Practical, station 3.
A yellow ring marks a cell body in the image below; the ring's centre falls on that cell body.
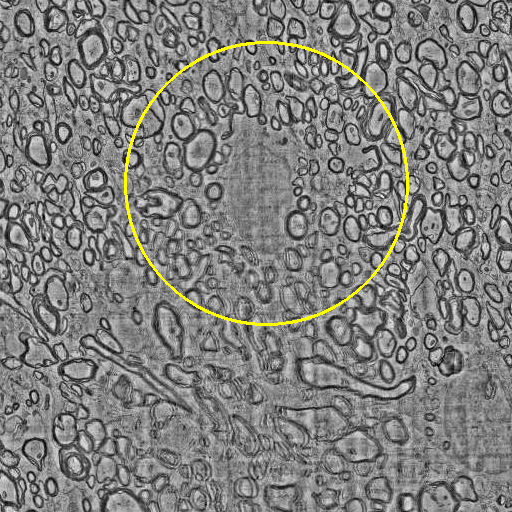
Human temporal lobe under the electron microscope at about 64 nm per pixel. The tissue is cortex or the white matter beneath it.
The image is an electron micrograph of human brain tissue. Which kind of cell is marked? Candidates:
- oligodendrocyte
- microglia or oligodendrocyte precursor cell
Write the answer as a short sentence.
The marked cell body is that of an oligodendrocyte.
